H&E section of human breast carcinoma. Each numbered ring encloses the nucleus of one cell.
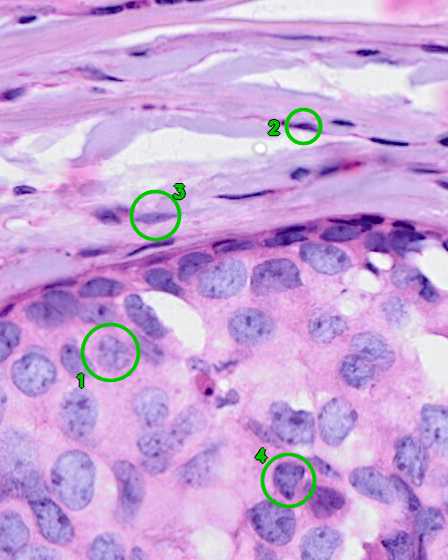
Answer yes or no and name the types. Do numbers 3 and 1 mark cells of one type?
No, cell 3 is a fibroblast, and cell 1 is a carcinoma cell.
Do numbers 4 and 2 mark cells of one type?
No, cell 4 is a carcinoma cell whereas cell 2 is a fibroblast.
